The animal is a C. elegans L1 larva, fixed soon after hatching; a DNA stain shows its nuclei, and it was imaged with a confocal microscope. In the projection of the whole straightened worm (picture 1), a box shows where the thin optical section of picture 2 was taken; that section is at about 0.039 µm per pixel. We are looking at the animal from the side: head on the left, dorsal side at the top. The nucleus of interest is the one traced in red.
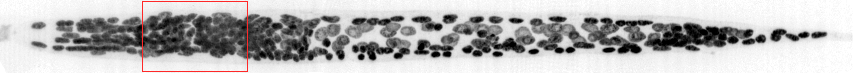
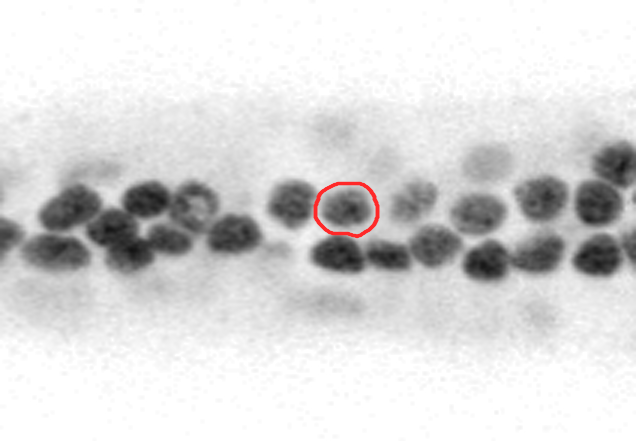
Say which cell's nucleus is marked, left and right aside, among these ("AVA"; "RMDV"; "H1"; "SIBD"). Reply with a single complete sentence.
The marked cell is AVA, a neuron.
